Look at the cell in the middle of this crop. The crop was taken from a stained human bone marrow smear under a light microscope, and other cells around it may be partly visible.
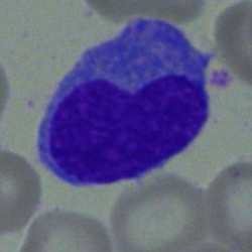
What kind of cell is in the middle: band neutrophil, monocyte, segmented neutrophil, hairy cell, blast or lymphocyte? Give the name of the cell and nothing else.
monocyte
